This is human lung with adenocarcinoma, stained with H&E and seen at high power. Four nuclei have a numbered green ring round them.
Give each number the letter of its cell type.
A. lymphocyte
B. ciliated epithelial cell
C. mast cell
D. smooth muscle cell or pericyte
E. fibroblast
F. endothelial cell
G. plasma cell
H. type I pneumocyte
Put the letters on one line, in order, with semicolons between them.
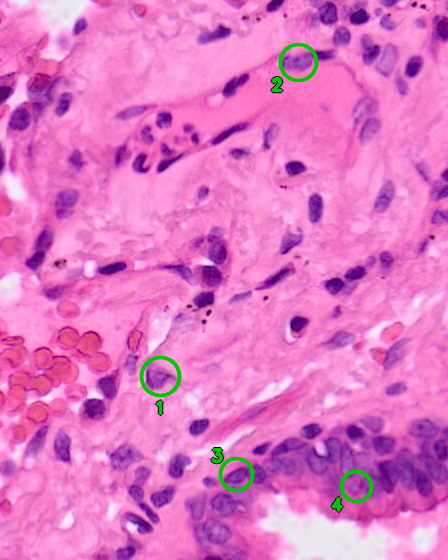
E; F; B; B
